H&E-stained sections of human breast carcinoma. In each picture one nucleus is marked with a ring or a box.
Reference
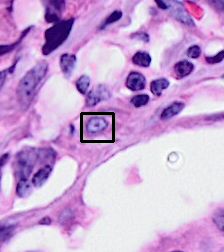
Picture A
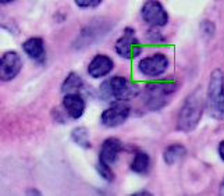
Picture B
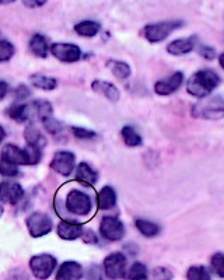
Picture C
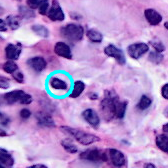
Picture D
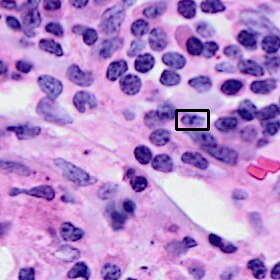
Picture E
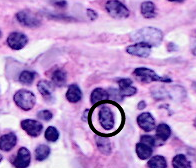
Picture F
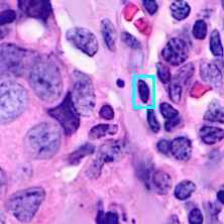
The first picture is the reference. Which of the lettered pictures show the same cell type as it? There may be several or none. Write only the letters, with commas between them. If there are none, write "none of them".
none of them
